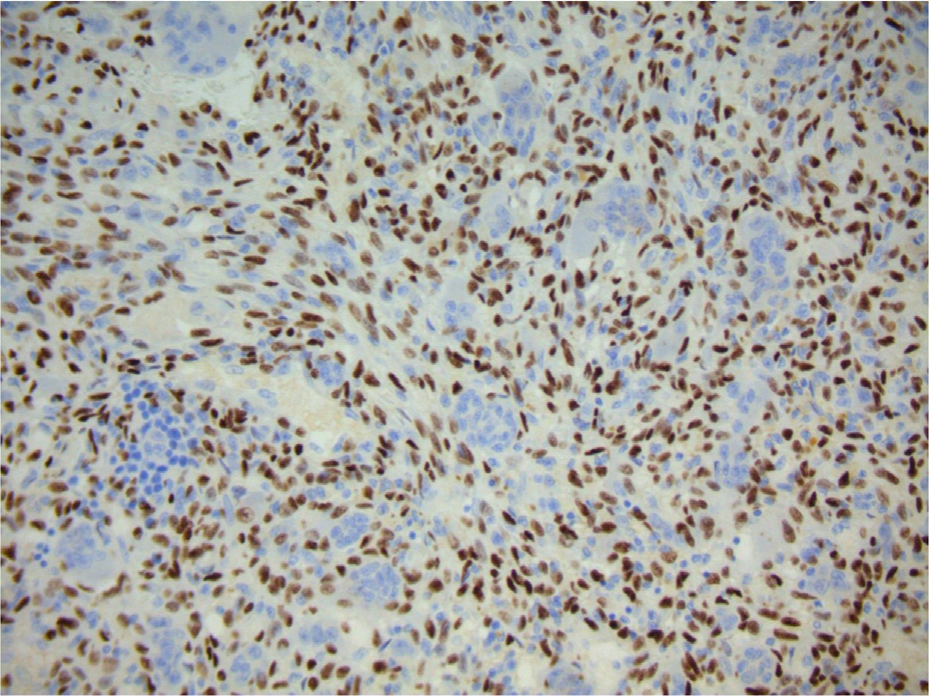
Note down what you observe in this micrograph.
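Mononuclear cells, with oval to spindle-shaped nuclei, are crowded diffusely throughout the field, often in streaming, loosely fascicular arrangements. Their nuclei are strongly stained brown. Scattered evenly among them are large multinucleated giant cells with abundant pale, faintly granular cytoplasm. Each holds a cluster of many small round nuclei, and these nuclei carry only the blue counterstain. The mononuclear cells pack tightly around and between the giant cells.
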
